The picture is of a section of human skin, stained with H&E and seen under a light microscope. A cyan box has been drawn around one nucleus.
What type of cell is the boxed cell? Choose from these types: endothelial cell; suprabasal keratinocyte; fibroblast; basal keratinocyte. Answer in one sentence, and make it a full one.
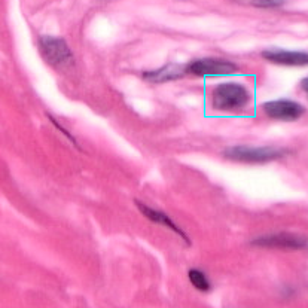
At the level of cell identity, the boxed cell is an endothelial cell.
